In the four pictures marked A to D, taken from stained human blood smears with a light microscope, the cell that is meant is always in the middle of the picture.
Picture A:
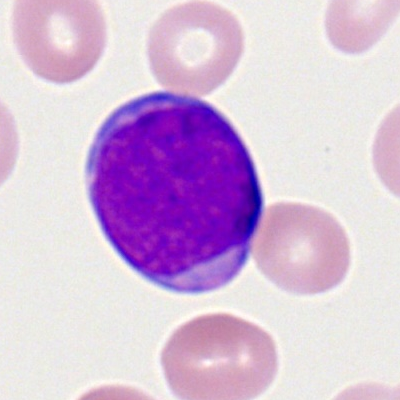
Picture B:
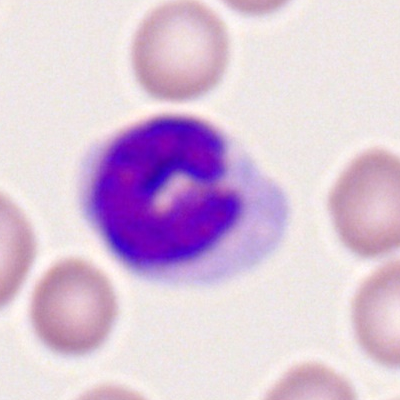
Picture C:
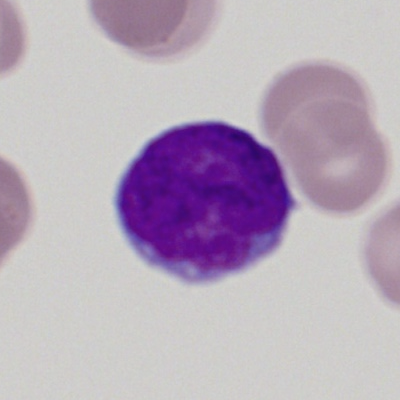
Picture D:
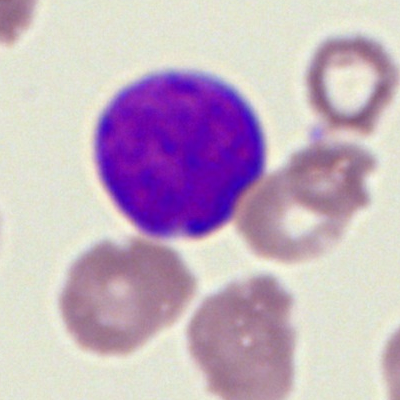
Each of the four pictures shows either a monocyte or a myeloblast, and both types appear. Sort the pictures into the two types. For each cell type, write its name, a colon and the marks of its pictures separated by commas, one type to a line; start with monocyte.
monocyte: B
myeloblast: A, C, D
